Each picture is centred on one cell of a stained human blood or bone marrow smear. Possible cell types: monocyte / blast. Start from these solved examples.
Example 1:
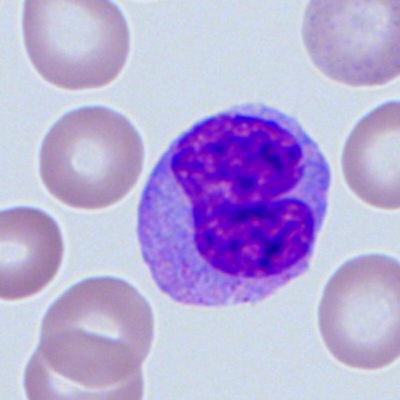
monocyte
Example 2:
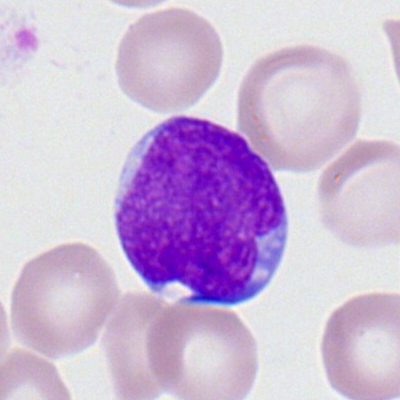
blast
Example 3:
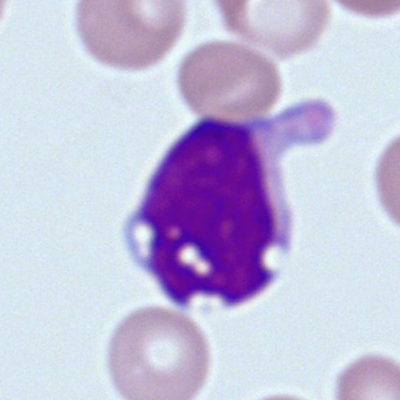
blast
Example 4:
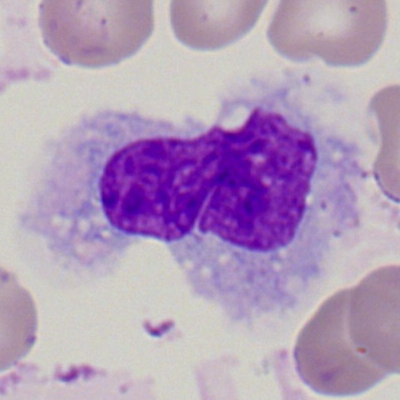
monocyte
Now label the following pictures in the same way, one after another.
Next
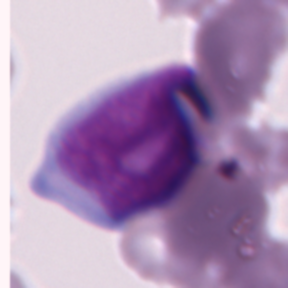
blast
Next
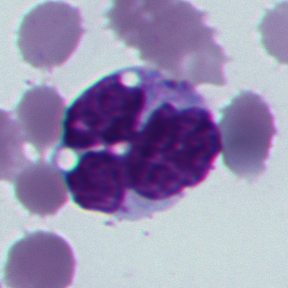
monocyte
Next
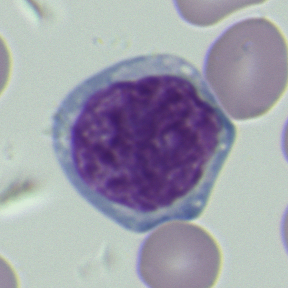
blast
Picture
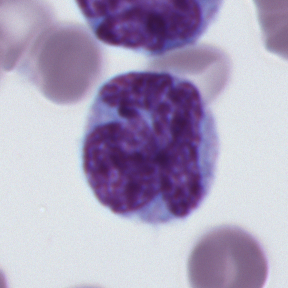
monocyte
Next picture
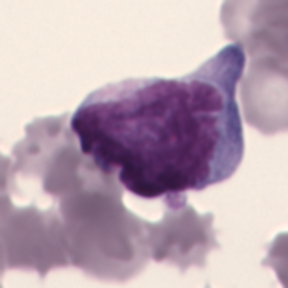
blast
